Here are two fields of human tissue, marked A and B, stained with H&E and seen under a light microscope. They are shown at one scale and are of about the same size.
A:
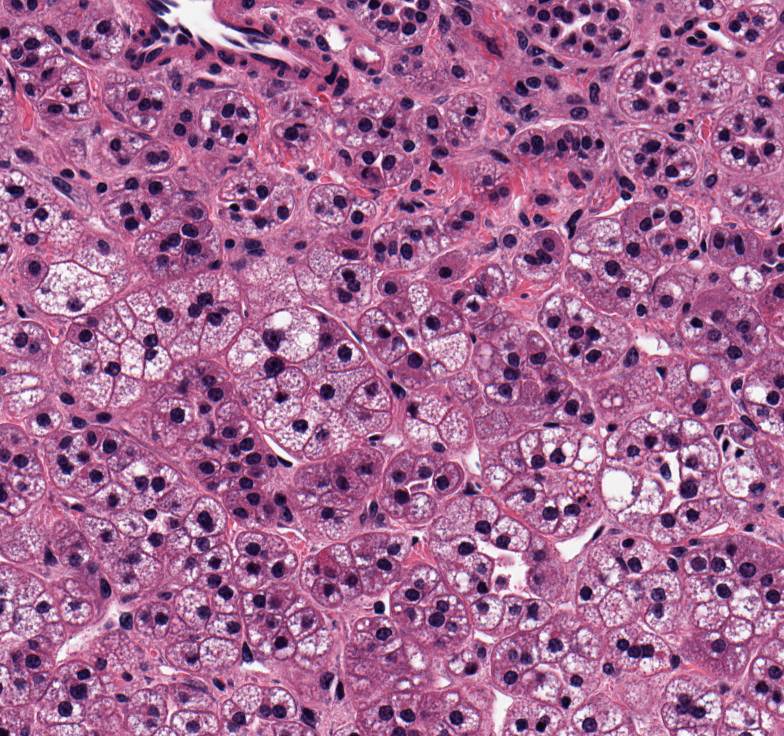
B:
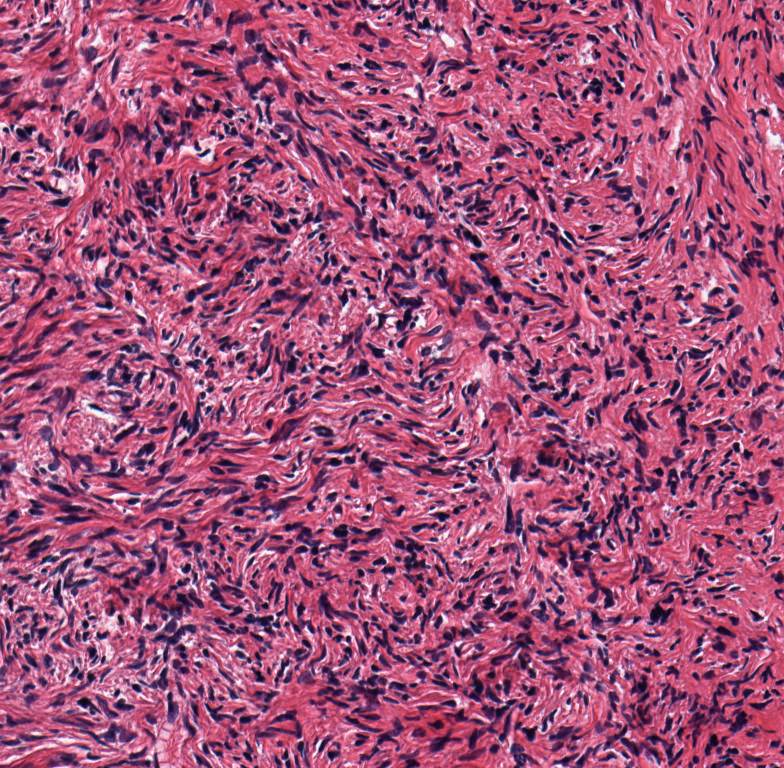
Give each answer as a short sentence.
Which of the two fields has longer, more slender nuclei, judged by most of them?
On the whole the nuclei of field B are more drawn out than those of field A.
